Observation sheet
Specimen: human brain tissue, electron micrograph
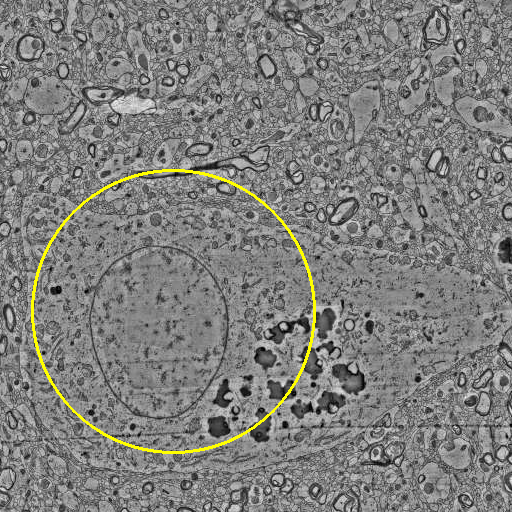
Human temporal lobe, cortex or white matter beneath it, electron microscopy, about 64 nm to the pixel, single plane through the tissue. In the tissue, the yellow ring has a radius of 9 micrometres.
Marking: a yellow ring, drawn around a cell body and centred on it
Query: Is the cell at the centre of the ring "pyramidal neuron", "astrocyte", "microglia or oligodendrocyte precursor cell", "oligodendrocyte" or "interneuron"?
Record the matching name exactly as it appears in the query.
pyramidal neuron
